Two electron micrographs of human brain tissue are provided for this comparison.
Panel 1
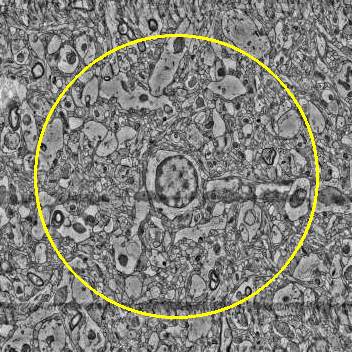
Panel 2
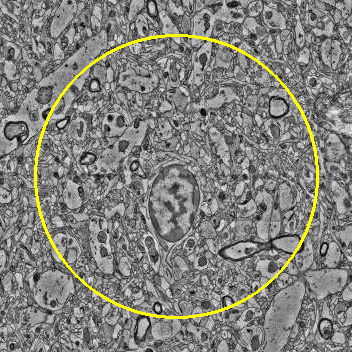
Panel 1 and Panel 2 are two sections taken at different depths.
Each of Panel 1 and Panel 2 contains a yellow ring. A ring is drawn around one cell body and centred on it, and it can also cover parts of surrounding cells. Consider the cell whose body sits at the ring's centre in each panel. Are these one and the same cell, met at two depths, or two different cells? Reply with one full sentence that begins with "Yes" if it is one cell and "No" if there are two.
No, two distinct cells are each enclosed by a yellow ring.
